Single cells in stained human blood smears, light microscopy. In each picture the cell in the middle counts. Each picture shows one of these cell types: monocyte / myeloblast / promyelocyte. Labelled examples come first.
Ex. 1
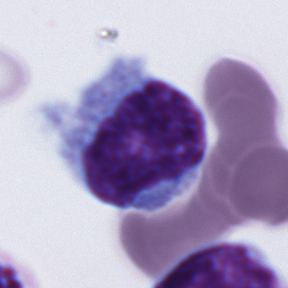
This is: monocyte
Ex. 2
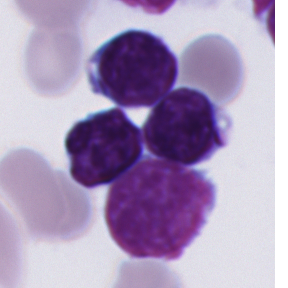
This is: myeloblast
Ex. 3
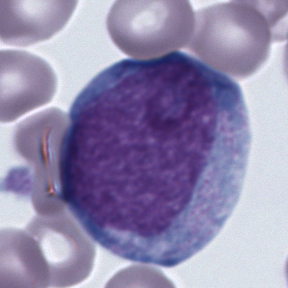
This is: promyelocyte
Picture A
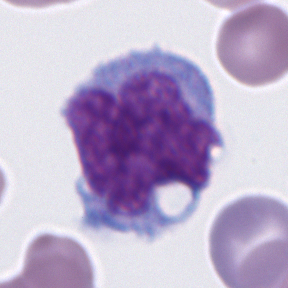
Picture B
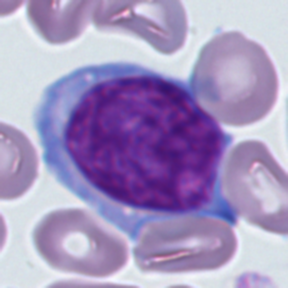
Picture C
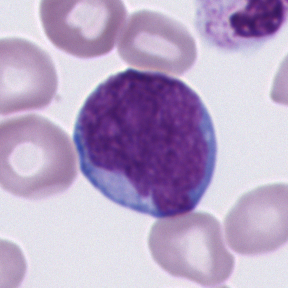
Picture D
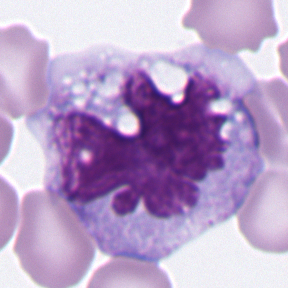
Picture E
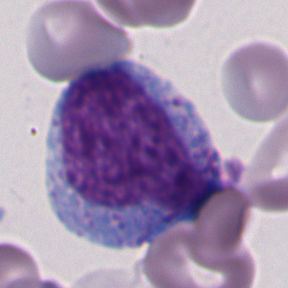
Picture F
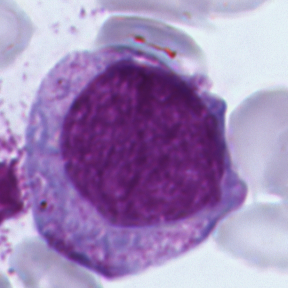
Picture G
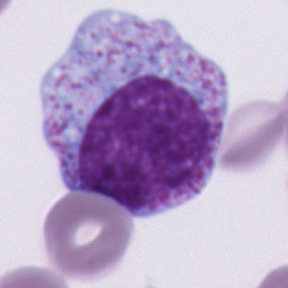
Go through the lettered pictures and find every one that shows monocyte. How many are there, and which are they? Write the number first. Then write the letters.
Count: 1 (D)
